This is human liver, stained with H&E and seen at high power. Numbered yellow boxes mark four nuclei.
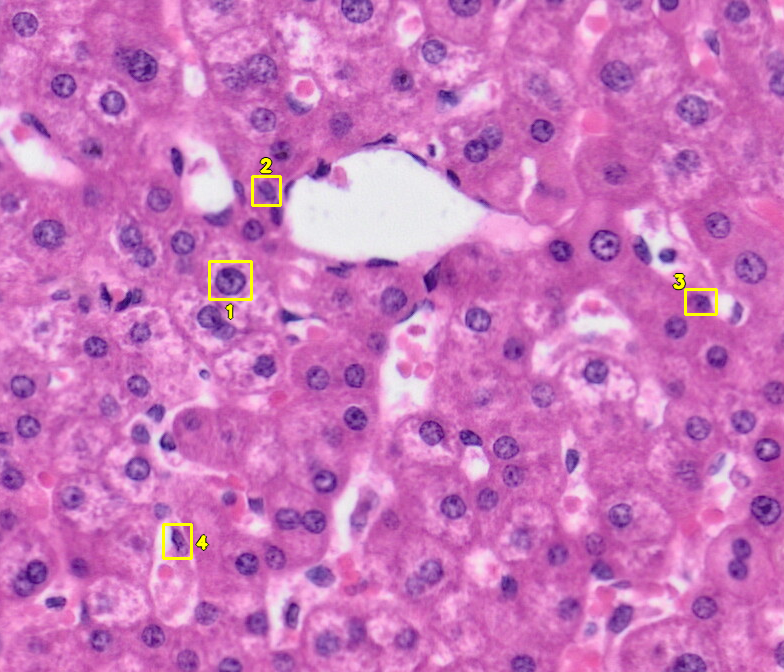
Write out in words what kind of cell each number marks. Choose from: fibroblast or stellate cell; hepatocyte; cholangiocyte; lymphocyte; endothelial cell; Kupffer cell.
Cell 1 is a hepatocyte, cell 2 is a fibroblast or stellate cell, cell 3 is a fibroblast or stellate cell and cell 4 is a Kupffer cell.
